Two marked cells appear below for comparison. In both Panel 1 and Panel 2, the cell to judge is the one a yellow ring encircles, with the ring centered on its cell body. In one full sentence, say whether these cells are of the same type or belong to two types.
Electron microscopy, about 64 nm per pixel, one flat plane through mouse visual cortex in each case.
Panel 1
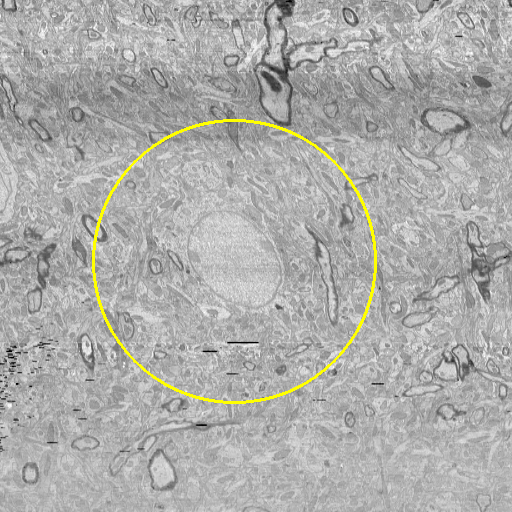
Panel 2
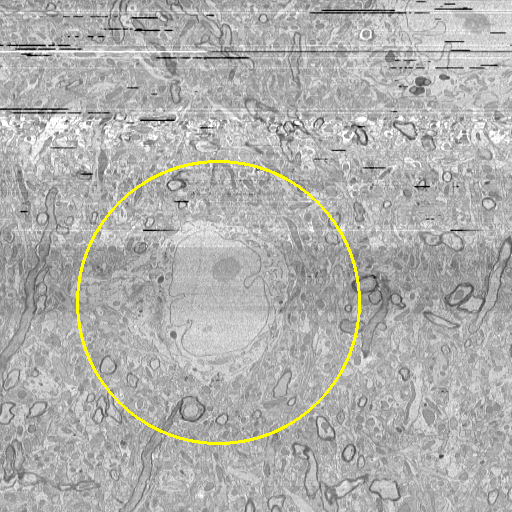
The cell centered in the Panel 1 ring and the one in Panel 2 belong to two types.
